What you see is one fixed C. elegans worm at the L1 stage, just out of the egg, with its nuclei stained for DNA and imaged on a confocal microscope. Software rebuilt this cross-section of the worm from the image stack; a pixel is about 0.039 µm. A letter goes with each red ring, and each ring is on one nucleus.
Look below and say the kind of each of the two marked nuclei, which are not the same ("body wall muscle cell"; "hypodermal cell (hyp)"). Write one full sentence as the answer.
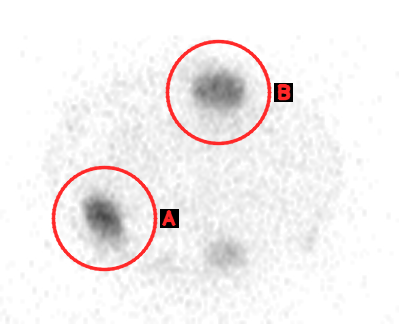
The nucleus A is that of a body wall muscle cell, while B is that of a hypodermal cell (hyp).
